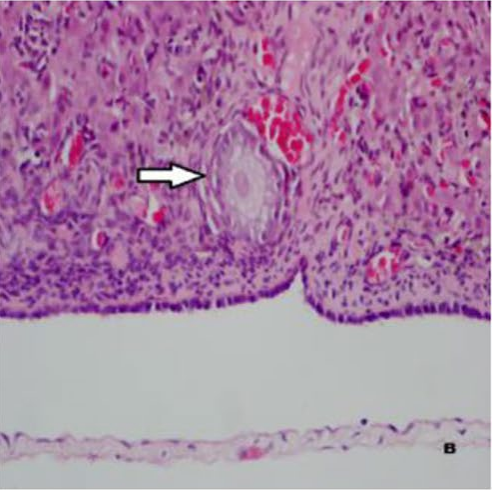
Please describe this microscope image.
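This is ovarian cortex beneath the surface lining, containing a primary follicle. A continuous single layer of small cells with dark nuclei lines the free surface, which faces an empty space. Below this lies cellular stroma of spindle-shaped cells. Blood vessels in the stroma are congested and packed with bright red blood cells.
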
